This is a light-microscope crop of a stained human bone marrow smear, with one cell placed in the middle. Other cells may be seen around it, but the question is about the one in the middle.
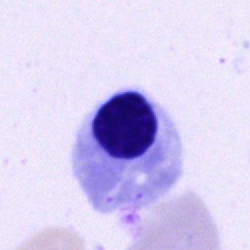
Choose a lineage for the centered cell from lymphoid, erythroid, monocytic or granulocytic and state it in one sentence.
The cell at the center is a representative of the erythroid lineage.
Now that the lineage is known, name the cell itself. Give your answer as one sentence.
Classified as an erythroblast is the cell in the middle of this crop.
